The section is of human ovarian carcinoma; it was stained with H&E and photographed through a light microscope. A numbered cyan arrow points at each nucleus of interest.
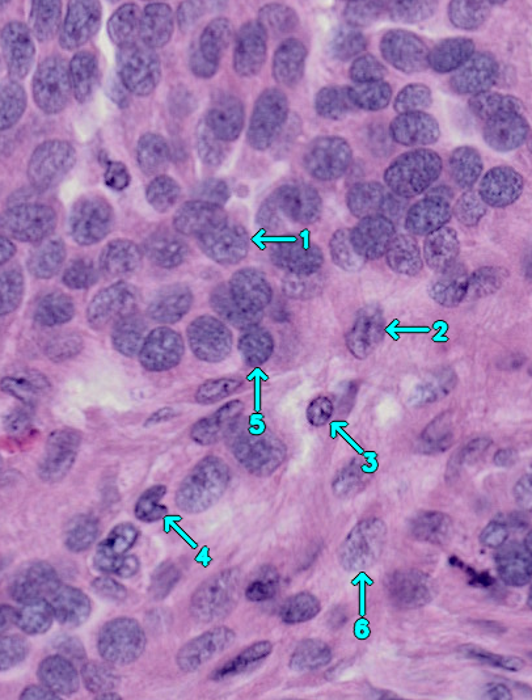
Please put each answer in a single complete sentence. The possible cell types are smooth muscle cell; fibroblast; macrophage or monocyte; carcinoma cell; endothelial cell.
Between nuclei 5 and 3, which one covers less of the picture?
With nucleus 5 about 1.5 times its size, nucleus 3 is the smaller of the two.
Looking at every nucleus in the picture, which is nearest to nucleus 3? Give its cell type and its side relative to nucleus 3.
Lying above and to the right of nucleus 3, the nearest nucleus is that of a fibroblast.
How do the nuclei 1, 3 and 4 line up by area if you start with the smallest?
By area, going up from the smallest, they rank 3, 4, 1.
